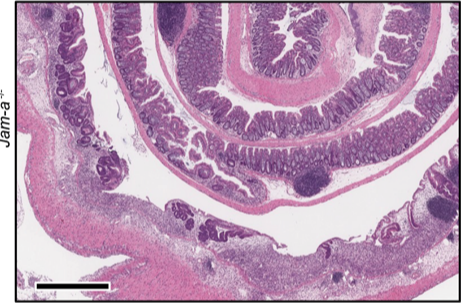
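This section of colon shows a mucosa in which the crypt layer is disrupted. In the lower left, crypts are absent over a long stretch, and the wall there is replaced by a thickened, pink, cellular layer without glands.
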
